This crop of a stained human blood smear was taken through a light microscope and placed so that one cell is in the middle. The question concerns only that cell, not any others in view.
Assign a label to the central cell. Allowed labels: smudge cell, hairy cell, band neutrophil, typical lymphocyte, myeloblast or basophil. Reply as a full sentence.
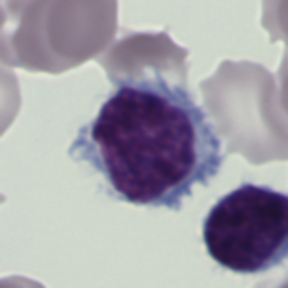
As for the cell in the middle, it is a hairy cell.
